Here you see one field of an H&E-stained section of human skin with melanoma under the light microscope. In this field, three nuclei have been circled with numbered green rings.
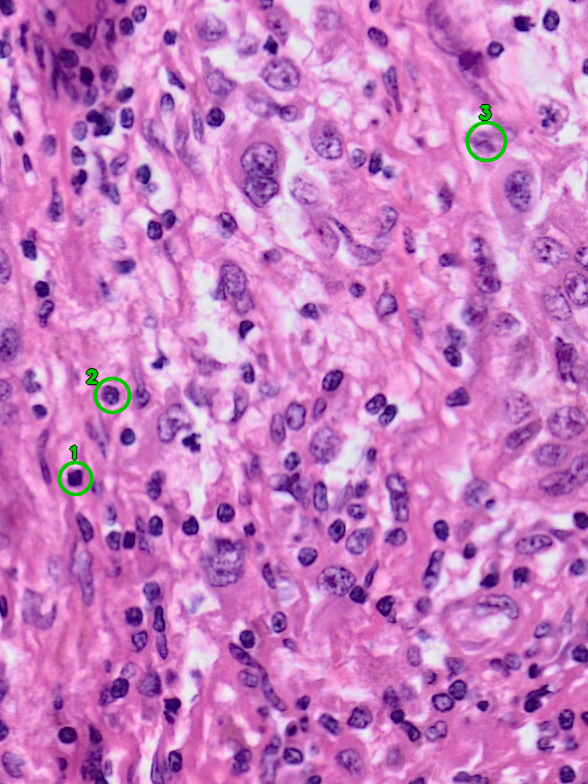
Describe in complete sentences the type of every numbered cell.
Cells 1 and 2 are lymphocytes. Cell 3 is a melanoma cell.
